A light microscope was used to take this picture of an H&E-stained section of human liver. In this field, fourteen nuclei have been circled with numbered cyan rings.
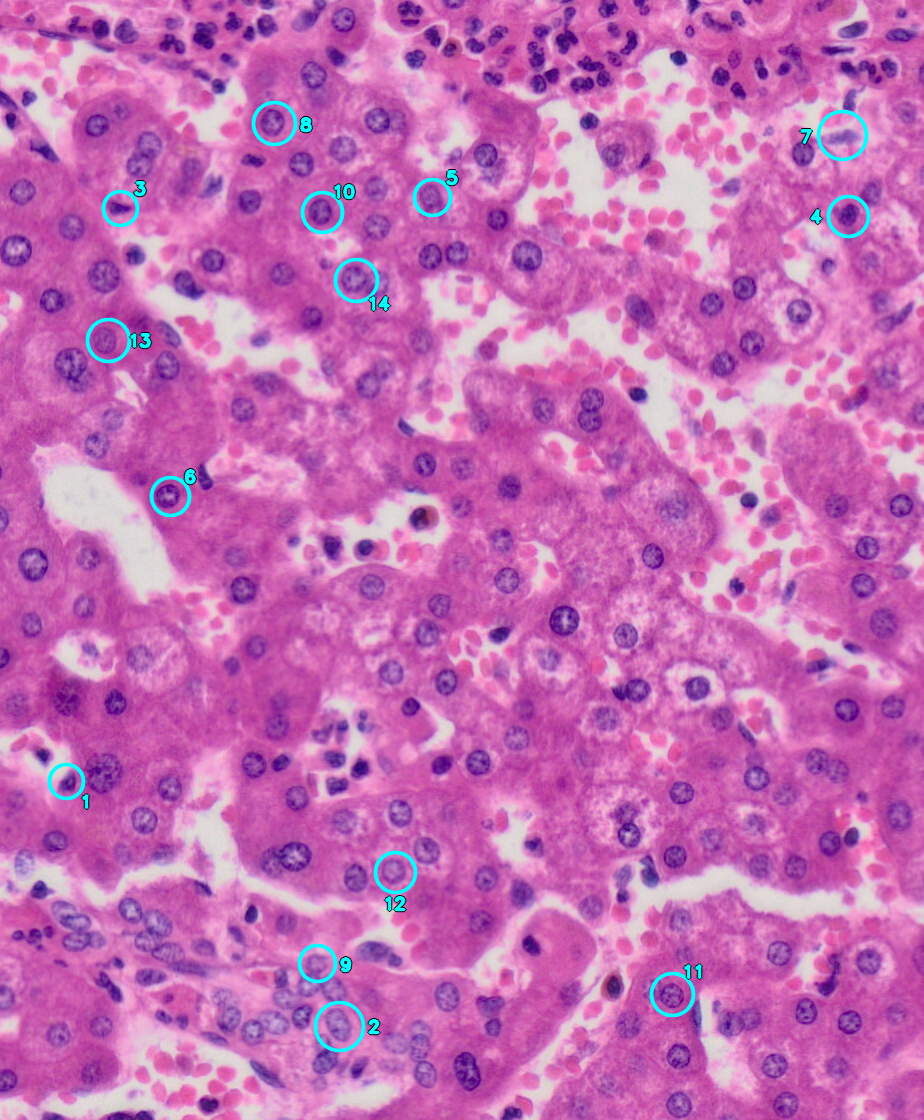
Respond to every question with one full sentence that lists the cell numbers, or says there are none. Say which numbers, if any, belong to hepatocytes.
As for the cells numbered 5, 6, 8, 10, 11, 12, 13 and 14, they are hepatocytes.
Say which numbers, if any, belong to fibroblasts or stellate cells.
The cells with the number labels 1, 3 and 4 are fibroblasts or stellate cells.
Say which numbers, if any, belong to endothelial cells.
Exactly one of the numbered cells is an endothelial cell, namely cell 7.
